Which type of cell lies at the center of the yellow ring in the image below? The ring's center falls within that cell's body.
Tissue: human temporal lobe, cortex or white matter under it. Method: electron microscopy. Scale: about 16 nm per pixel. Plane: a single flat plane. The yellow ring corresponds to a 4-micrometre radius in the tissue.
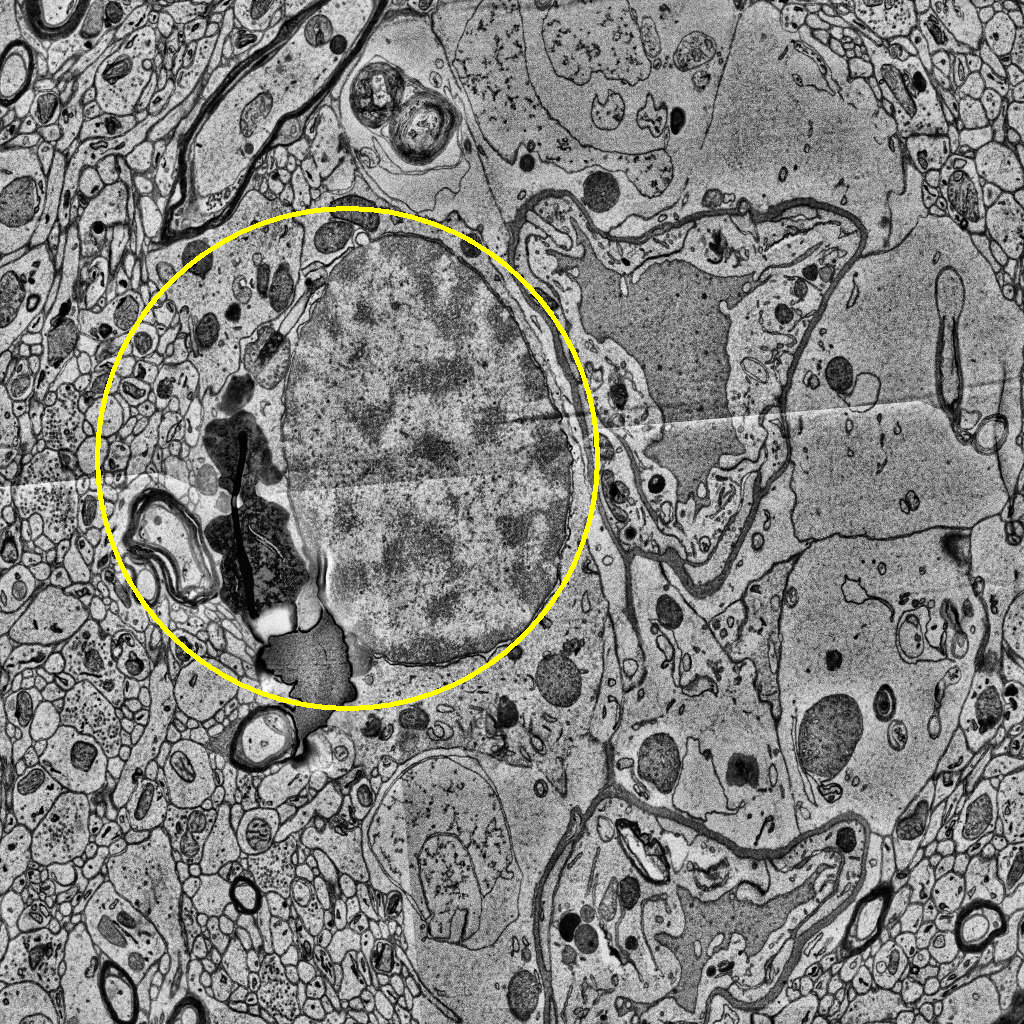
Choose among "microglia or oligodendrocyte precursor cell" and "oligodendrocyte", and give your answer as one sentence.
The cell body at the center belongs to an oligodendrocyte.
